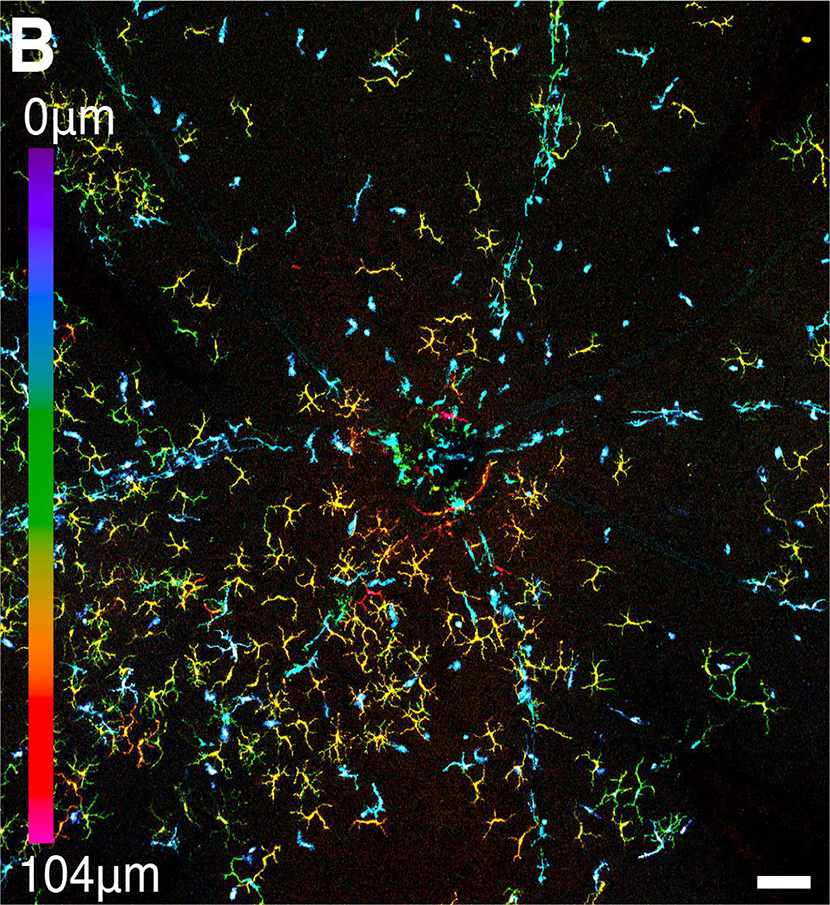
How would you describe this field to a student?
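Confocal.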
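The central part of a flat-mounted retina, seen at low magnification, is filled with fluorescent ramified cells in a colour scale from cyan to yellow and orange. Faint lines radiate outward from the centre, and some elongated cyan cells lie along these lines.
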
